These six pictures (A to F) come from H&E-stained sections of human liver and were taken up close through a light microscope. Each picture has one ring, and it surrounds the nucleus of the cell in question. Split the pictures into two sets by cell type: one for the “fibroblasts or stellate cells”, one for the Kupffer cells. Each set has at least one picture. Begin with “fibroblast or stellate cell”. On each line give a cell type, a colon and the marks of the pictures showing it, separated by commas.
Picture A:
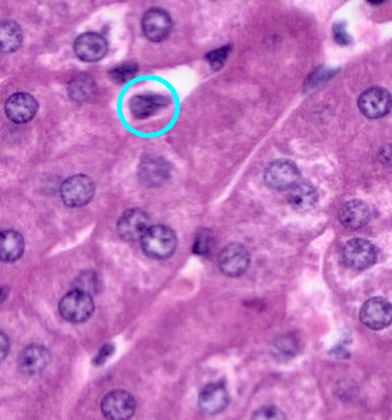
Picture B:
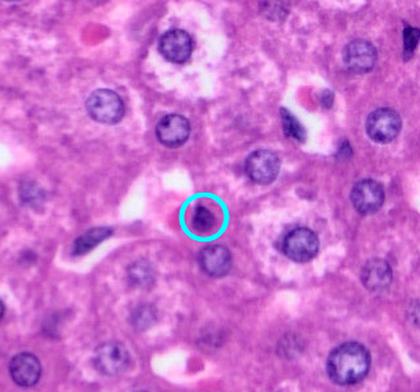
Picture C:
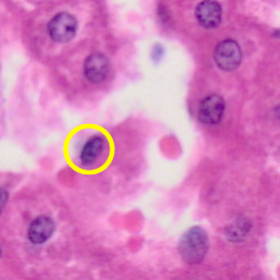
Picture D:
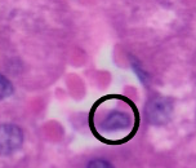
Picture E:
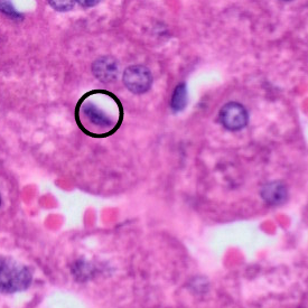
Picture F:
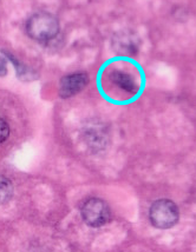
fibroblast or stellate cell: B, C, F
Kupffer cell: A, D, E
